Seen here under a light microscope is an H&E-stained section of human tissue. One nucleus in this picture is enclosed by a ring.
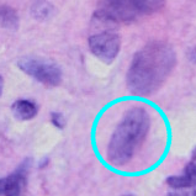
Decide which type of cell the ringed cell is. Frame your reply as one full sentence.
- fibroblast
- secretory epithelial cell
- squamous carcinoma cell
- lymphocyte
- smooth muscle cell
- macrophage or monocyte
Cytologically, the ringed cell is to be regarded as a fibroblast.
